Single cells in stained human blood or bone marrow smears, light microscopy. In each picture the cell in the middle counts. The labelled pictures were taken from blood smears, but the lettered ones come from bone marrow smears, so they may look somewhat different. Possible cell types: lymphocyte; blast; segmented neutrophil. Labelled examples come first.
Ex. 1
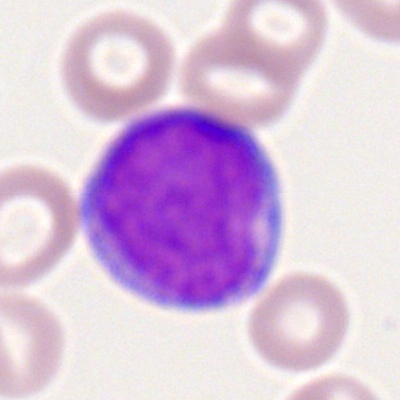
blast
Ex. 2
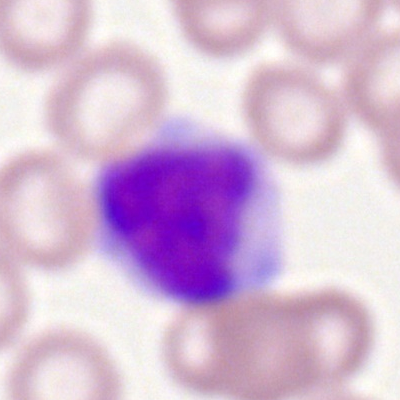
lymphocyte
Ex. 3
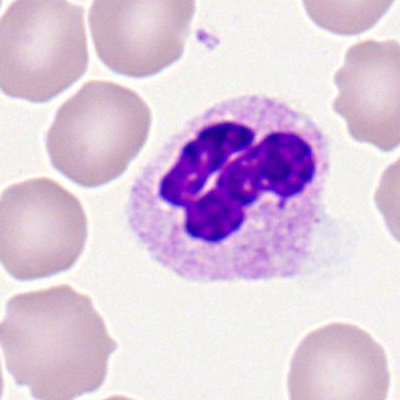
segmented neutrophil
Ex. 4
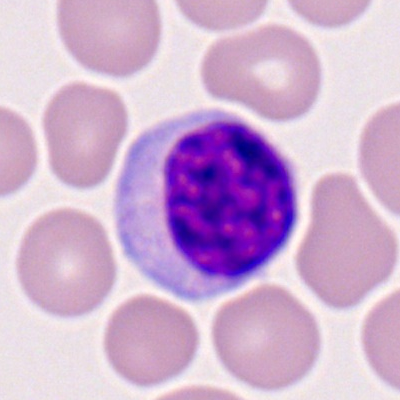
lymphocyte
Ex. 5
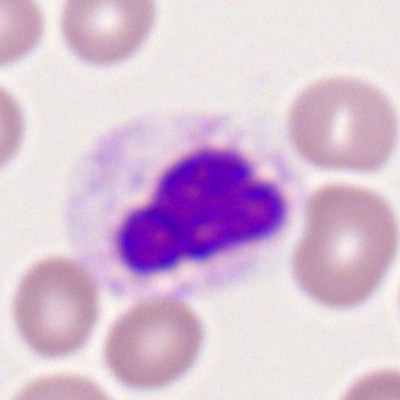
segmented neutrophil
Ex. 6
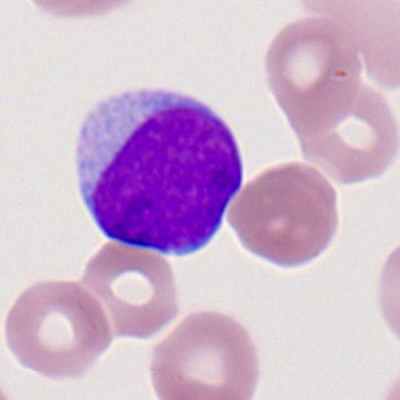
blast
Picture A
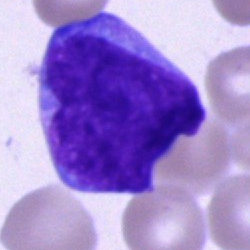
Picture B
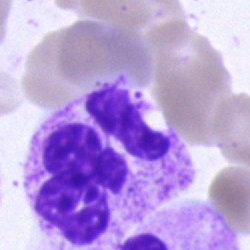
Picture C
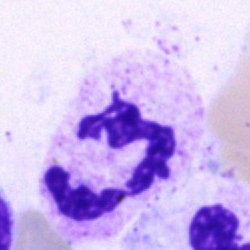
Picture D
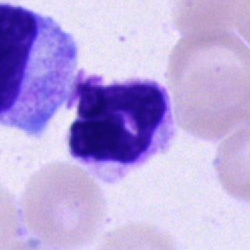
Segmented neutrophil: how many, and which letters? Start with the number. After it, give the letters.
3, namely B, C, D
